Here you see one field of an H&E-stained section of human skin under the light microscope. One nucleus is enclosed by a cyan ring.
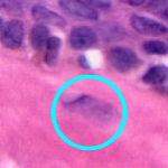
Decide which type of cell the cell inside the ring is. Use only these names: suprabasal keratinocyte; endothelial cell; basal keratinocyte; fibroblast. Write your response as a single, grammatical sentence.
Among the cells in this section, the cell inside the ring is a fibroblast.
